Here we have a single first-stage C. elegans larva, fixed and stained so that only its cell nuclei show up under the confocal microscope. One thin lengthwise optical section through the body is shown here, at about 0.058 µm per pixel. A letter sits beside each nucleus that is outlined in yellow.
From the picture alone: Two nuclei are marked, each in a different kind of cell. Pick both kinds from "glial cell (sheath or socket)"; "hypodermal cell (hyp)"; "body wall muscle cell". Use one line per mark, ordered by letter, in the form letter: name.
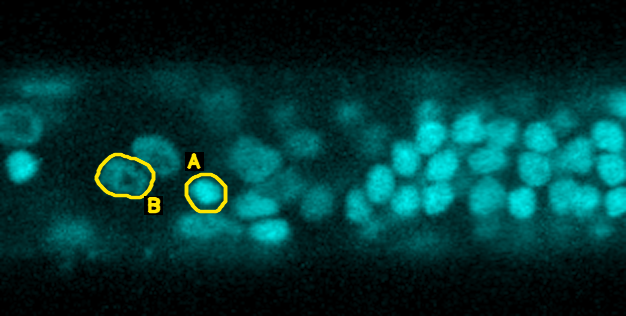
A: glial cell (sheath or socket)
B: hypodermal cell (hyp)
